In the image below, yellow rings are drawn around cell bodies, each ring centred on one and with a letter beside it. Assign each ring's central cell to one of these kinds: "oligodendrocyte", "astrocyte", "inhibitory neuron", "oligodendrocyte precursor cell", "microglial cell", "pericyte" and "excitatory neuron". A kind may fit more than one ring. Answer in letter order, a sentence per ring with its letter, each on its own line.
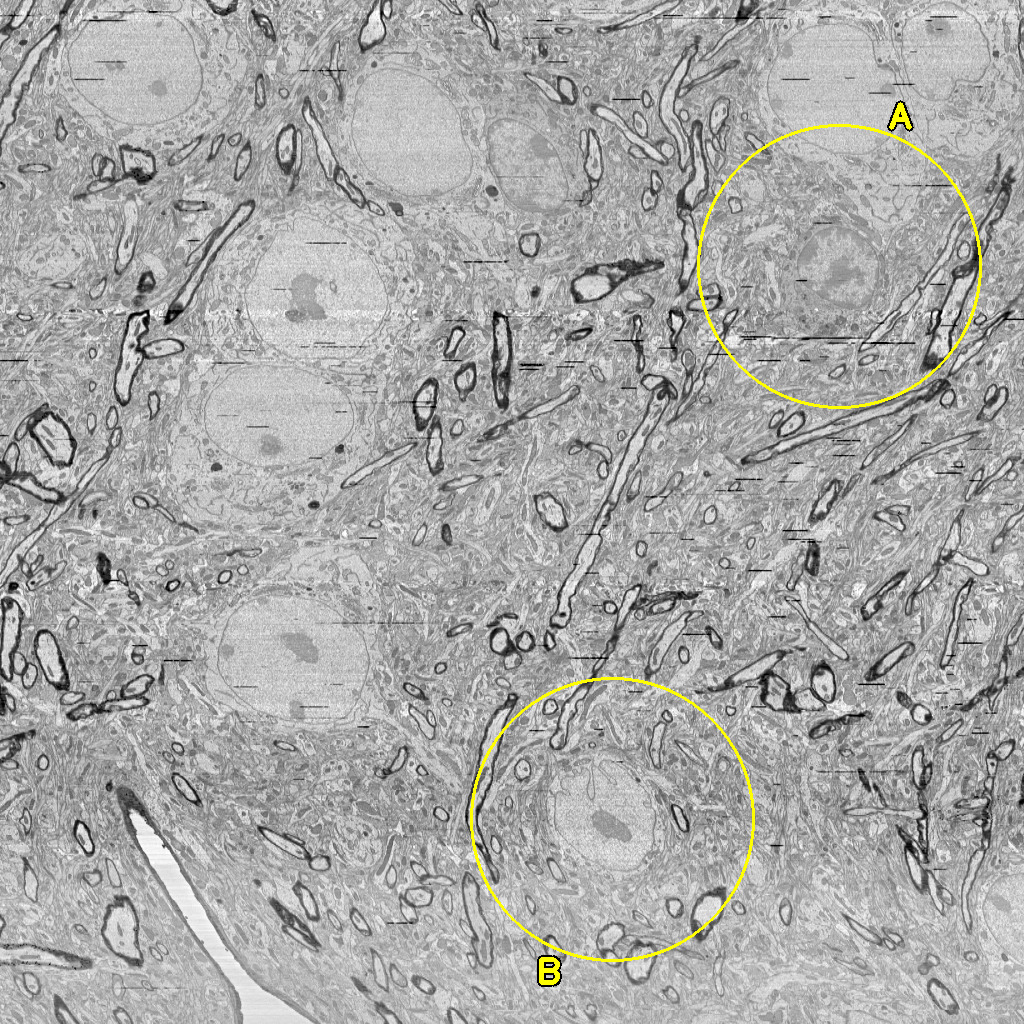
The central cell of ring A is an oligodendrocyte.
The central cell of ring B is an inhibitory neuron.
